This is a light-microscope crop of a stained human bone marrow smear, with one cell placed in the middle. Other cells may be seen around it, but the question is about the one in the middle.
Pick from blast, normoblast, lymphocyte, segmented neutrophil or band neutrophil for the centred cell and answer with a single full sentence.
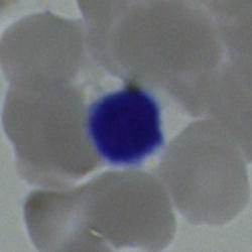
In the centre of this crop there is a lymphocyte.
